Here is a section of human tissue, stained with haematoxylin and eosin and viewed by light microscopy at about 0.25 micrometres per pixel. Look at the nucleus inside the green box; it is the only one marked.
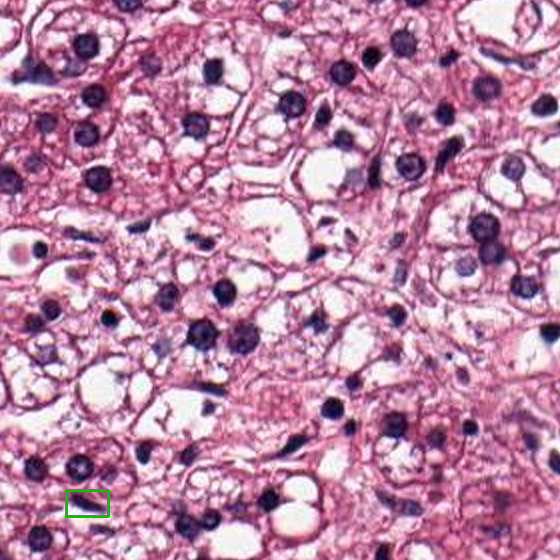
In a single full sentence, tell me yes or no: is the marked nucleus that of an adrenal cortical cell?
No, the marked nucleus belongs to a supporting cell, not to an adrenal cortical cell.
